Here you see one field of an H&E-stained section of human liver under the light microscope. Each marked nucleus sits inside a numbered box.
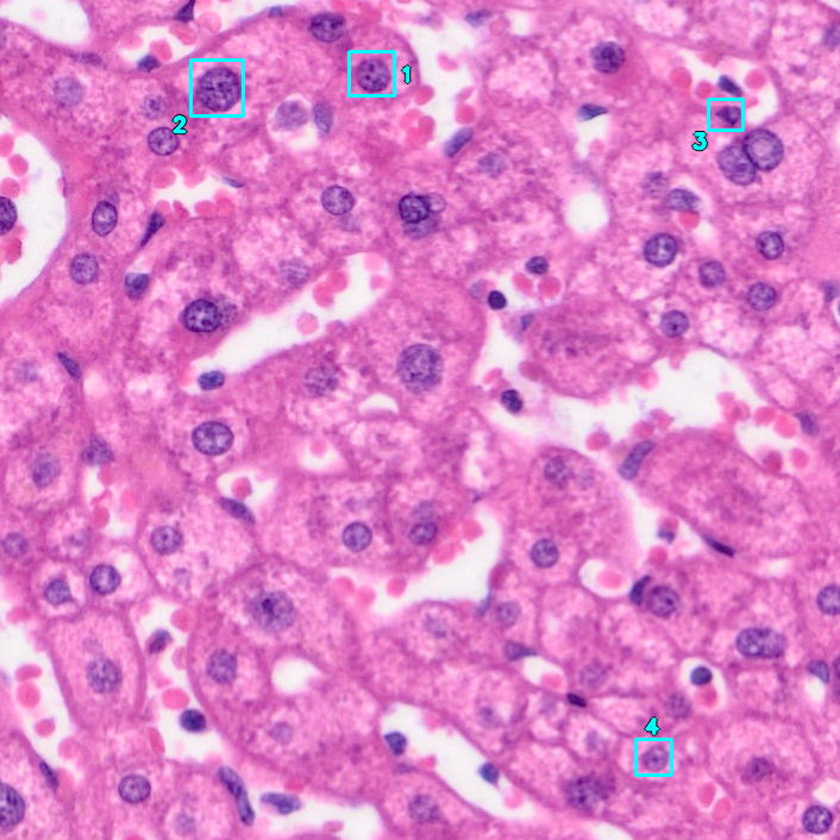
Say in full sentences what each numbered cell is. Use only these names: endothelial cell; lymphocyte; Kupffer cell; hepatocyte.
Cells 1, 2 and 4 are hepatocytes. Cell 3 is a Kupffer cell.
